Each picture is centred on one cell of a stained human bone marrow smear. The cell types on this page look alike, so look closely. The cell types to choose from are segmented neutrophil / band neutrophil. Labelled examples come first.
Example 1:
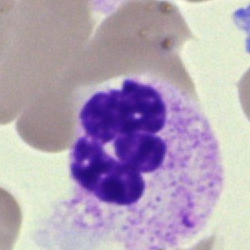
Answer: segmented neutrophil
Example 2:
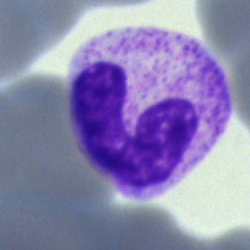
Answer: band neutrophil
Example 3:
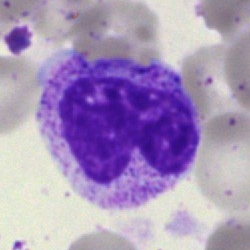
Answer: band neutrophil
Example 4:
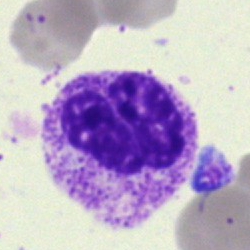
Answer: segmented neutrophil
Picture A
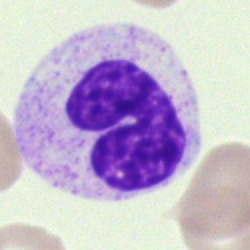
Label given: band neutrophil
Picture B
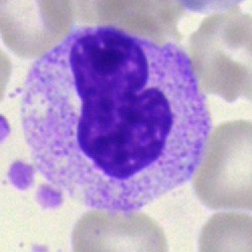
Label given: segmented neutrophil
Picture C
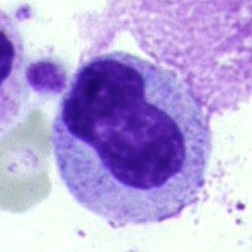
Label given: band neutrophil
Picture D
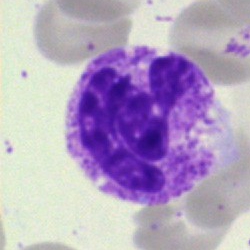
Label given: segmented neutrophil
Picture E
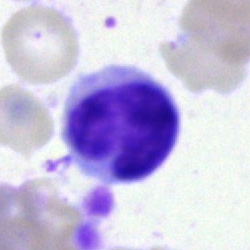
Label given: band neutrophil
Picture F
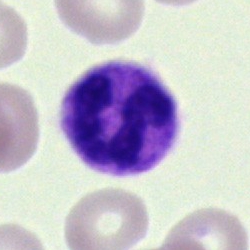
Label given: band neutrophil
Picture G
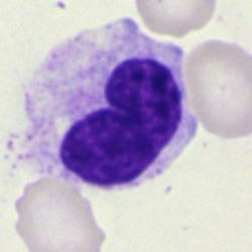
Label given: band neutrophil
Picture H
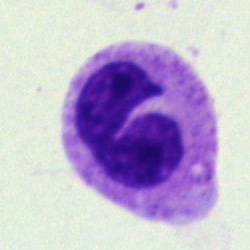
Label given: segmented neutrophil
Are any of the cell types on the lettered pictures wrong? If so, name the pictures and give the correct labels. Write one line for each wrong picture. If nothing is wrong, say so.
B should be band neutrophil, not segmented neutrophil
F should be segmented neutrophil, not band neutrophil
